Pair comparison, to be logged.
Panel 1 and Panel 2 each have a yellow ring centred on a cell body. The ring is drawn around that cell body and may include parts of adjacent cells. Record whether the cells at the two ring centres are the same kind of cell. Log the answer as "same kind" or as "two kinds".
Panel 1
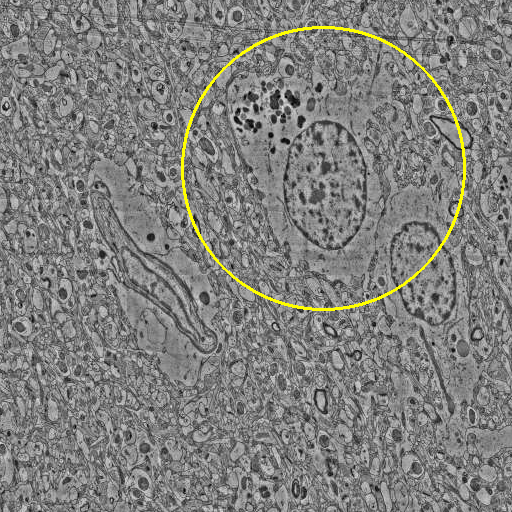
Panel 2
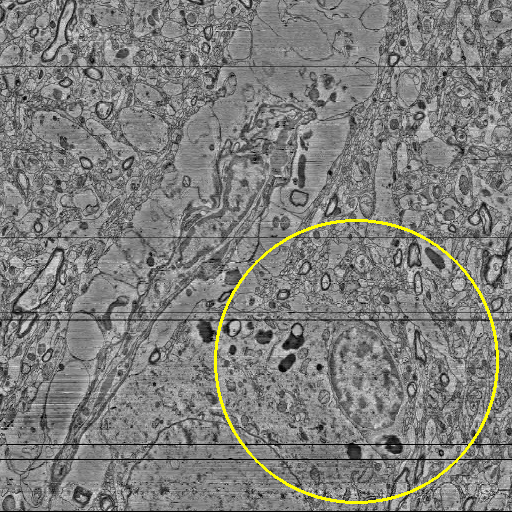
two kinds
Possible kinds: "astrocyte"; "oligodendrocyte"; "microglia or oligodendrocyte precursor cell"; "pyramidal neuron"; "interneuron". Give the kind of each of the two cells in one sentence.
The cell in the second picture is an oligodendrocyte, and that in the first is an astrocyte.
